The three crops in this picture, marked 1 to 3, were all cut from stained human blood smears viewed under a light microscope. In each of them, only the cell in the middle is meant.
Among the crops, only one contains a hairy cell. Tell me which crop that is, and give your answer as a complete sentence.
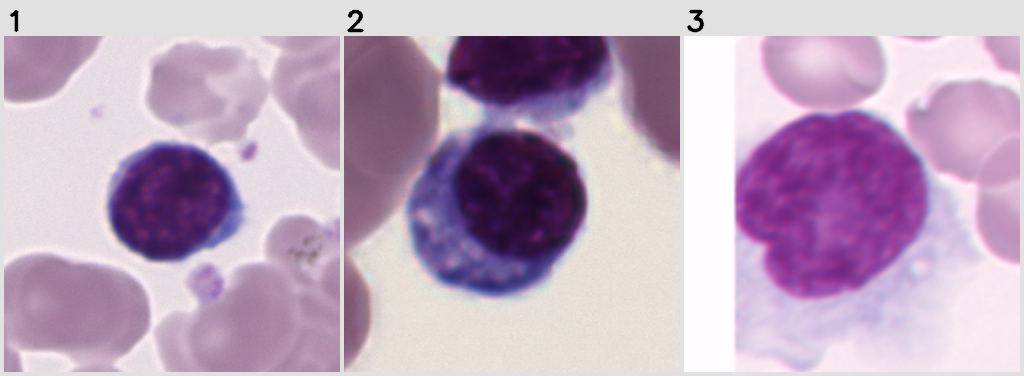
The crop marked 3 is the one that shows a hairy cell.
